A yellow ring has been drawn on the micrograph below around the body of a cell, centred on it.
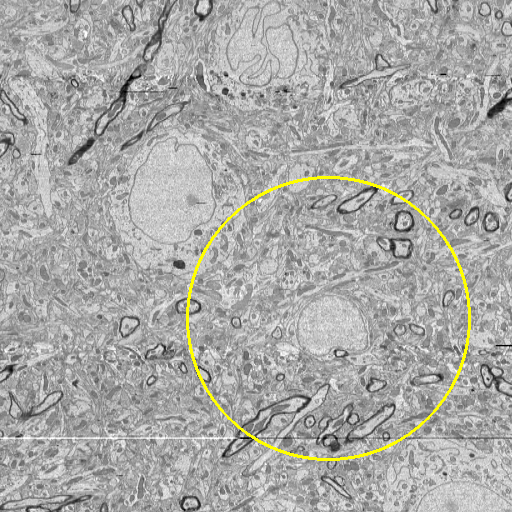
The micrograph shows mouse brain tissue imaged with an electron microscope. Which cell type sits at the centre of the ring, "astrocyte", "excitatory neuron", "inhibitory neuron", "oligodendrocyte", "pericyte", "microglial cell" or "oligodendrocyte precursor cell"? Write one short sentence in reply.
The cell sitting at the centre of the ring is an oligodendrocyte precursor cell.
